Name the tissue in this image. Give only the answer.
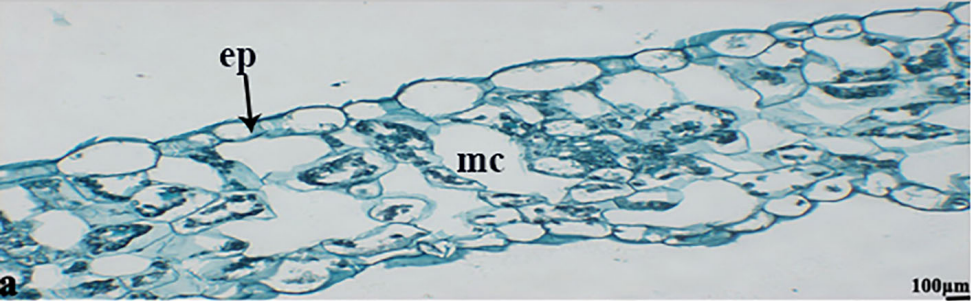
Leaf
